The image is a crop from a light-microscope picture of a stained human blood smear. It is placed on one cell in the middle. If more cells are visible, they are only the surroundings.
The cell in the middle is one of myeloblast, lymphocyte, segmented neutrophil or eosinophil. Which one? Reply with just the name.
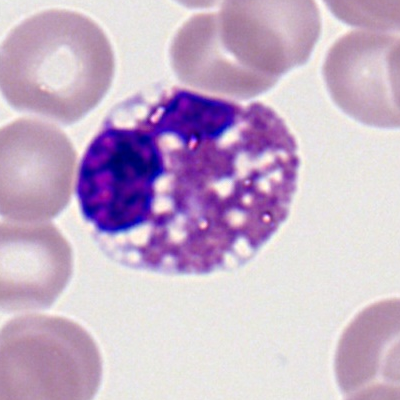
eosinophil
